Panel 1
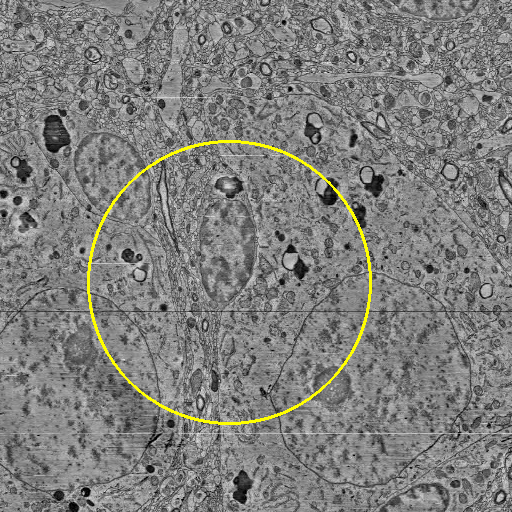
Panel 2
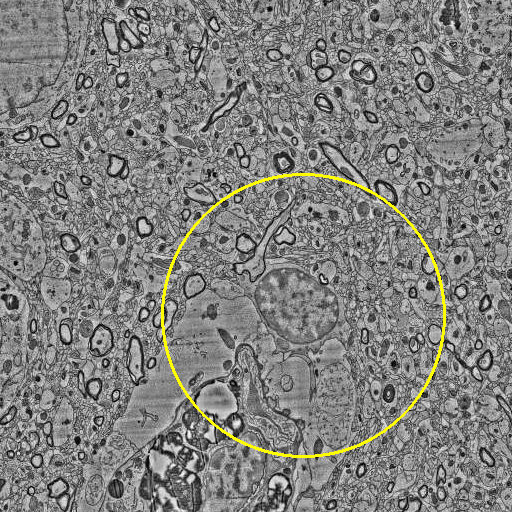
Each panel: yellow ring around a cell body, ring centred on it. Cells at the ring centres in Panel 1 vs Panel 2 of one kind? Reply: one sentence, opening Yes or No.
Yes, Panel 1 and Panel 2 have cells of one kind at the ring centres.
